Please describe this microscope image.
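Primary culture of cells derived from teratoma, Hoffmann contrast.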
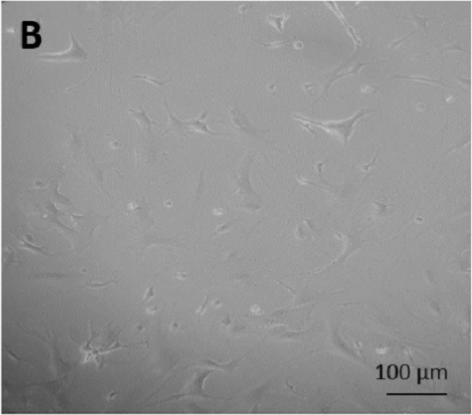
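Fibroblast-like cells lie scattered and flat on the dish. They are spindle-shaped or triangular, with thin tapering processes reaching out from the cell body, and few rounded cells are present between them.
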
